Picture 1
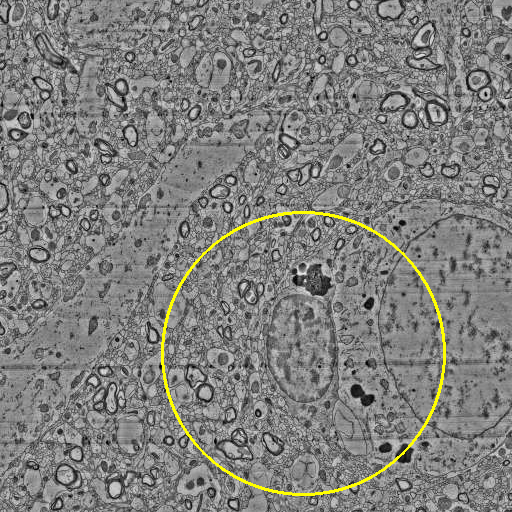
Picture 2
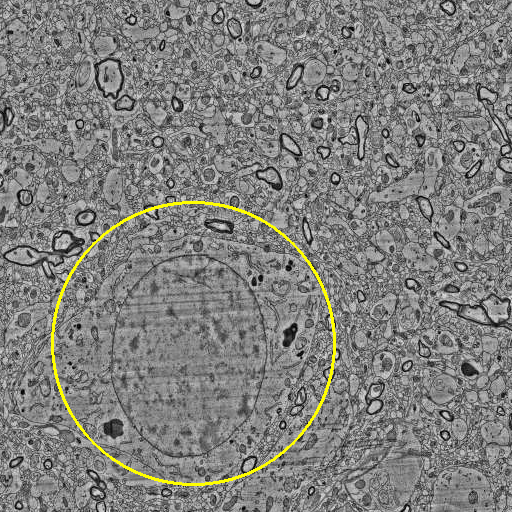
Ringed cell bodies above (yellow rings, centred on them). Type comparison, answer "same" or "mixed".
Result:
mixed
